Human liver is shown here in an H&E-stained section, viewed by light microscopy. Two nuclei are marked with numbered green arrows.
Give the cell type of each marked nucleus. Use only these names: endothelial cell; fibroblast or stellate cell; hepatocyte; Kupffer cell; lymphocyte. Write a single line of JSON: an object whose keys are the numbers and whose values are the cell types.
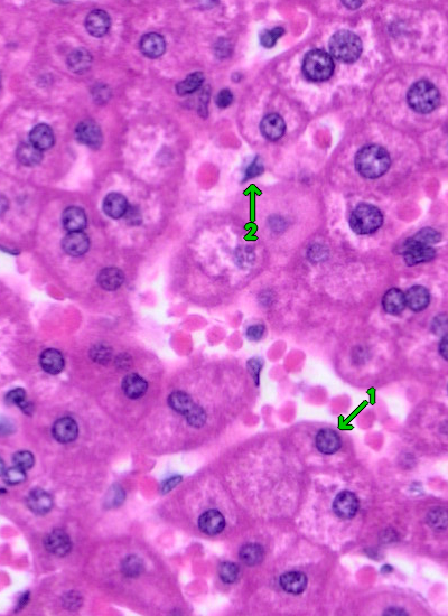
{"1": "hepatocyte", "2": "endothelial cell"}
